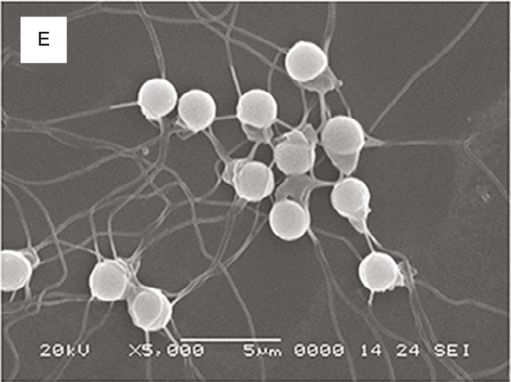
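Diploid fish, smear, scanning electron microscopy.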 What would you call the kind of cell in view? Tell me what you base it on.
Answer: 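Many small rounded heads about 1.5 to 2 µm across against the 5 µm bar. A short collar-like piece at one side of each head. A long thin tail runs from each head and the tails cross over the background.
Answer: spermatozoa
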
